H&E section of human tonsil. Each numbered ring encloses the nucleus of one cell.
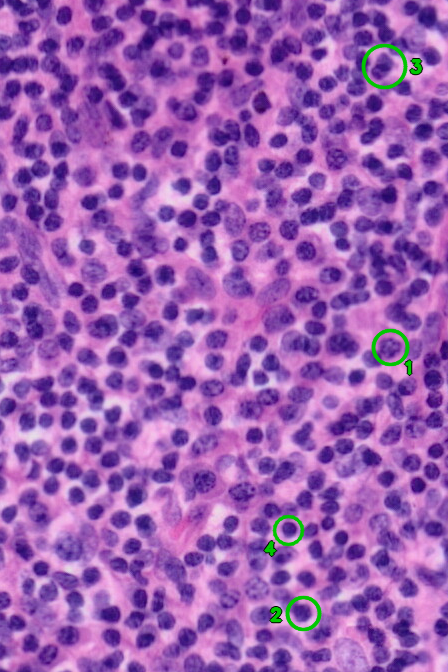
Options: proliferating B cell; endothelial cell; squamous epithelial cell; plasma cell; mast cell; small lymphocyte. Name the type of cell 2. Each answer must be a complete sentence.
Denoted by the label 2 in the section is a small lymphocyte.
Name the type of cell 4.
The cell that is numbered 4 is a small lymphocyte.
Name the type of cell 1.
In this section, the cell tagged 1 is a plasma cell.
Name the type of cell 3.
The expected answer is that cell 3 is a small lymphocyte.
